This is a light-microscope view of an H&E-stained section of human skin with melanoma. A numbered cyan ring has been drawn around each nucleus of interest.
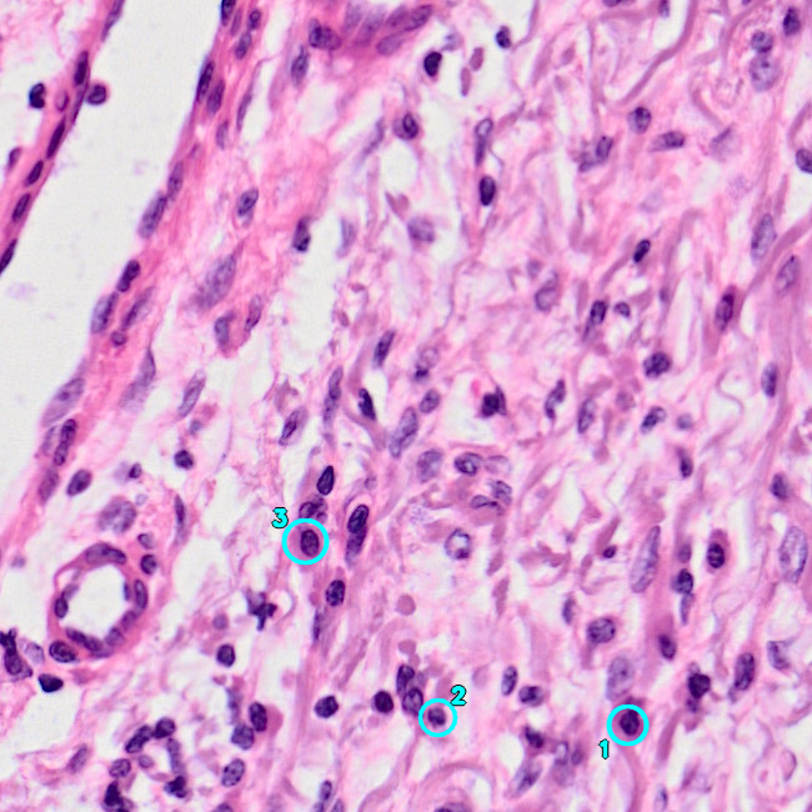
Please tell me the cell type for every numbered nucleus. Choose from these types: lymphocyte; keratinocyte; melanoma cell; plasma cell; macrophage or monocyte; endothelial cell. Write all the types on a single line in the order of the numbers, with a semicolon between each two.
plasma cell; lymphocyte; plasma cell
